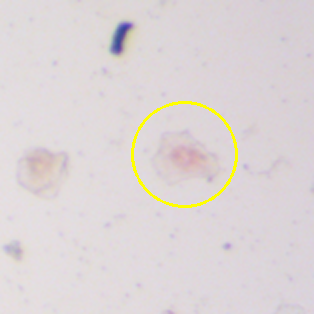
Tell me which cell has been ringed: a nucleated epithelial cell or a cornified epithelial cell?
It is a nucleated epithelial cell.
